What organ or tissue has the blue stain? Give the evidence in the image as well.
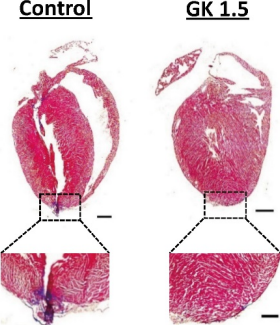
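Fibrotic tissues. A small blue-stained patch sits at the apex of the left heart section. The rest of the myocardium stains red. The blue patch is enlarged in the magnified image below.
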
